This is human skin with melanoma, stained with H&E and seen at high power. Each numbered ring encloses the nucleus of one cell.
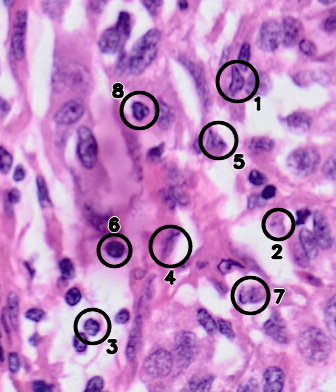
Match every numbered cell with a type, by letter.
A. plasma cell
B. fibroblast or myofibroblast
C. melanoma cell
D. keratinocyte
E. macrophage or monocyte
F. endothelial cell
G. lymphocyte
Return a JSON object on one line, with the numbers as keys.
{"1": "C", "2": "C", "3": "G", "4": "F", "5": "C", "6": "G", "7": "C", "8": "G"}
